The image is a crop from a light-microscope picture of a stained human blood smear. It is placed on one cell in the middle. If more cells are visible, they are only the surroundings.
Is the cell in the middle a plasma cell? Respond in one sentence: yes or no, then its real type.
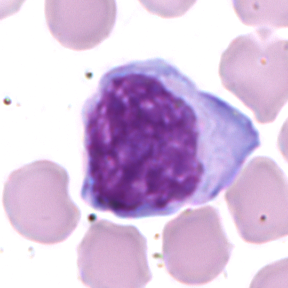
Yes, that is a plasma cell in the middle of the crop.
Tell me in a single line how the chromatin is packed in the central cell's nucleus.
Just so you know, its chromatin is coarsely clumped.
